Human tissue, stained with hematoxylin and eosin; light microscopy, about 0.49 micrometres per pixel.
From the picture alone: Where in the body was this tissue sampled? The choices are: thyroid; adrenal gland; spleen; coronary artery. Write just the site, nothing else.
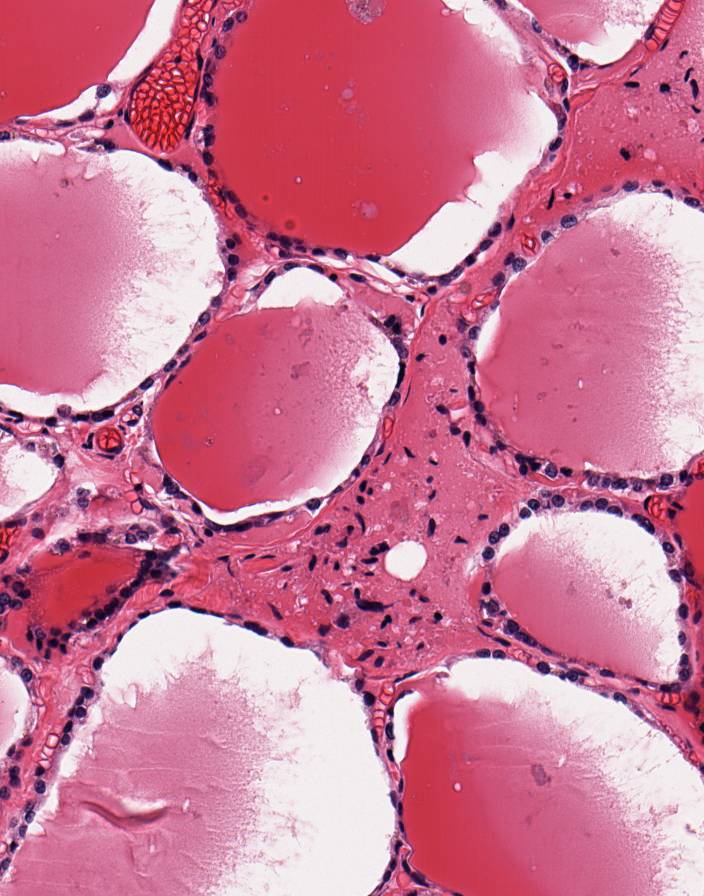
thyroid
